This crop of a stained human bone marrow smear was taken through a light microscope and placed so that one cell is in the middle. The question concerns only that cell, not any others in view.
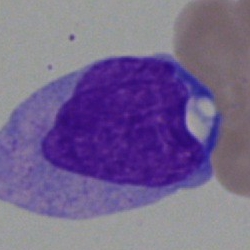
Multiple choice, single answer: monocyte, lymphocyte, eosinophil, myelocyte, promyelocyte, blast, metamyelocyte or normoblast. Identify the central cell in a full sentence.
The middle cell in this particular crop is a blast.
